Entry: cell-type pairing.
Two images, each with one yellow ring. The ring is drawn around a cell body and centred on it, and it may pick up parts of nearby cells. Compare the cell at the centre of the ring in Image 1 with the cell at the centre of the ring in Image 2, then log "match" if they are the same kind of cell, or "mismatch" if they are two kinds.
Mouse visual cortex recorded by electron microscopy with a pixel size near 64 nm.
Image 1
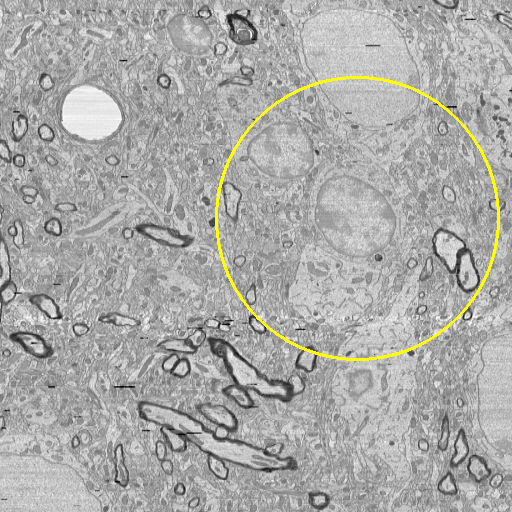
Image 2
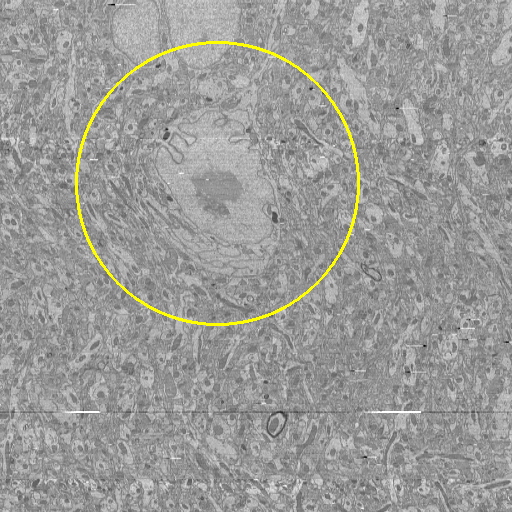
mismatch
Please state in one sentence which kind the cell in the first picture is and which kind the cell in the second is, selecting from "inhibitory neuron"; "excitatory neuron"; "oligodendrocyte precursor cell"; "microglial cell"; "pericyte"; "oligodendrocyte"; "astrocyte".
The first ringed cell is an oligodendrocyte, the second ringed cell an inhibitory neuron.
